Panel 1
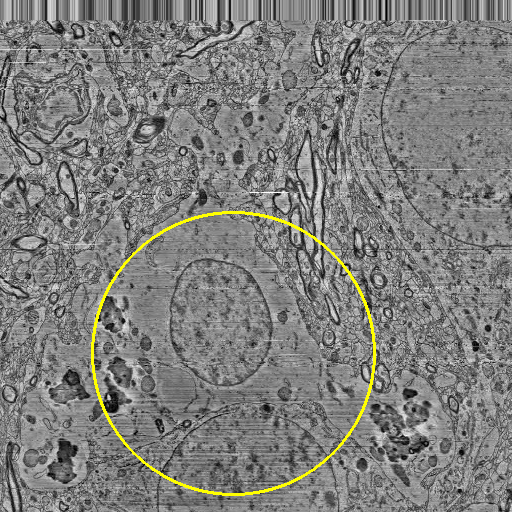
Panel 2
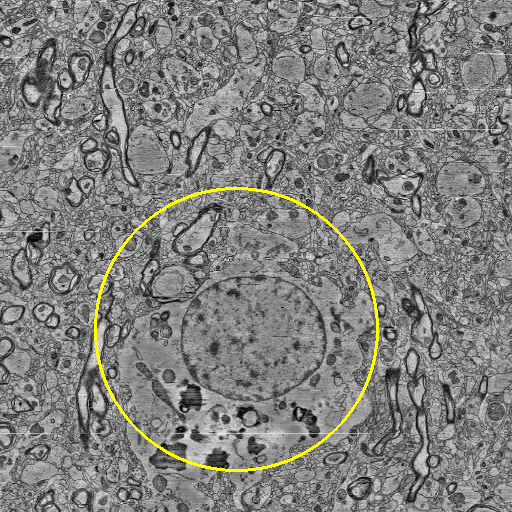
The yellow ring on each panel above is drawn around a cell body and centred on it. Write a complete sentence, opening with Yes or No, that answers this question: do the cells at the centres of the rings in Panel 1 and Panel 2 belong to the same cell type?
Yes, both cells belong to the same cell type.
